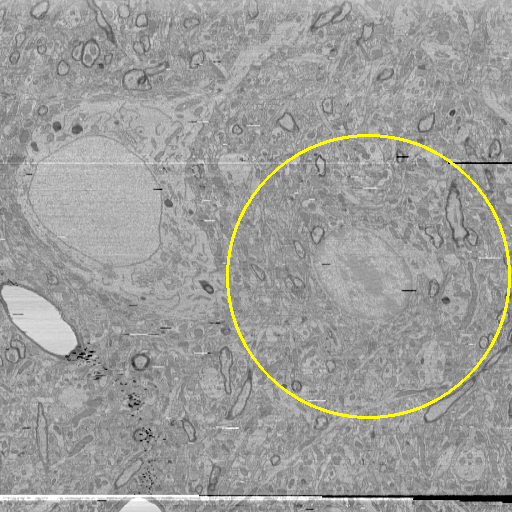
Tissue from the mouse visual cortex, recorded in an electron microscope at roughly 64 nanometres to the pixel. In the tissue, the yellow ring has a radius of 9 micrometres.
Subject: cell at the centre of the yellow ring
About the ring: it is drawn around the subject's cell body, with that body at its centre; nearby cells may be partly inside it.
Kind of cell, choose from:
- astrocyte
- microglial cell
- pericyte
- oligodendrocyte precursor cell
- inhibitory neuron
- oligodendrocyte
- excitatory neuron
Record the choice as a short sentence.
The subject cell is an oligodendrocyte.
